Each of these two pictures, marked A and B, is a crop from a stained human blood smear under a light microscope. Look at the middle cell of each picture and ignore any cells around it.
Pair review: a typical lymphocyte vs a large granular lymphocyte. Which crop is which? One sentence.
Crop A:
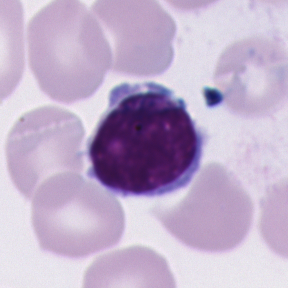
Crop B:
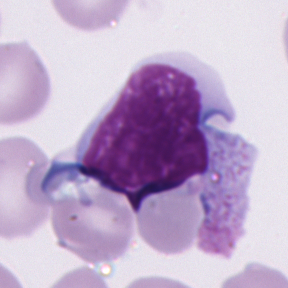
For crop A the cell is a typical lymphocyte, and for crop B it is a large granular lymphocyte.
